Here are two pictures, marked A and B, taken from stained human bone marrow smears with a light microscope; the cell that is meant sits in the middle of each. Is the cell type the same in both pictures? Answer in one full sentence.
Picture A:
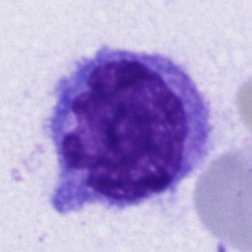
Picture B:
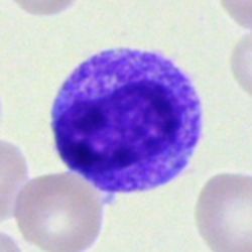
No, the types are not the same, since picture A shows a monocyte and picture B a metamyelocyte.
